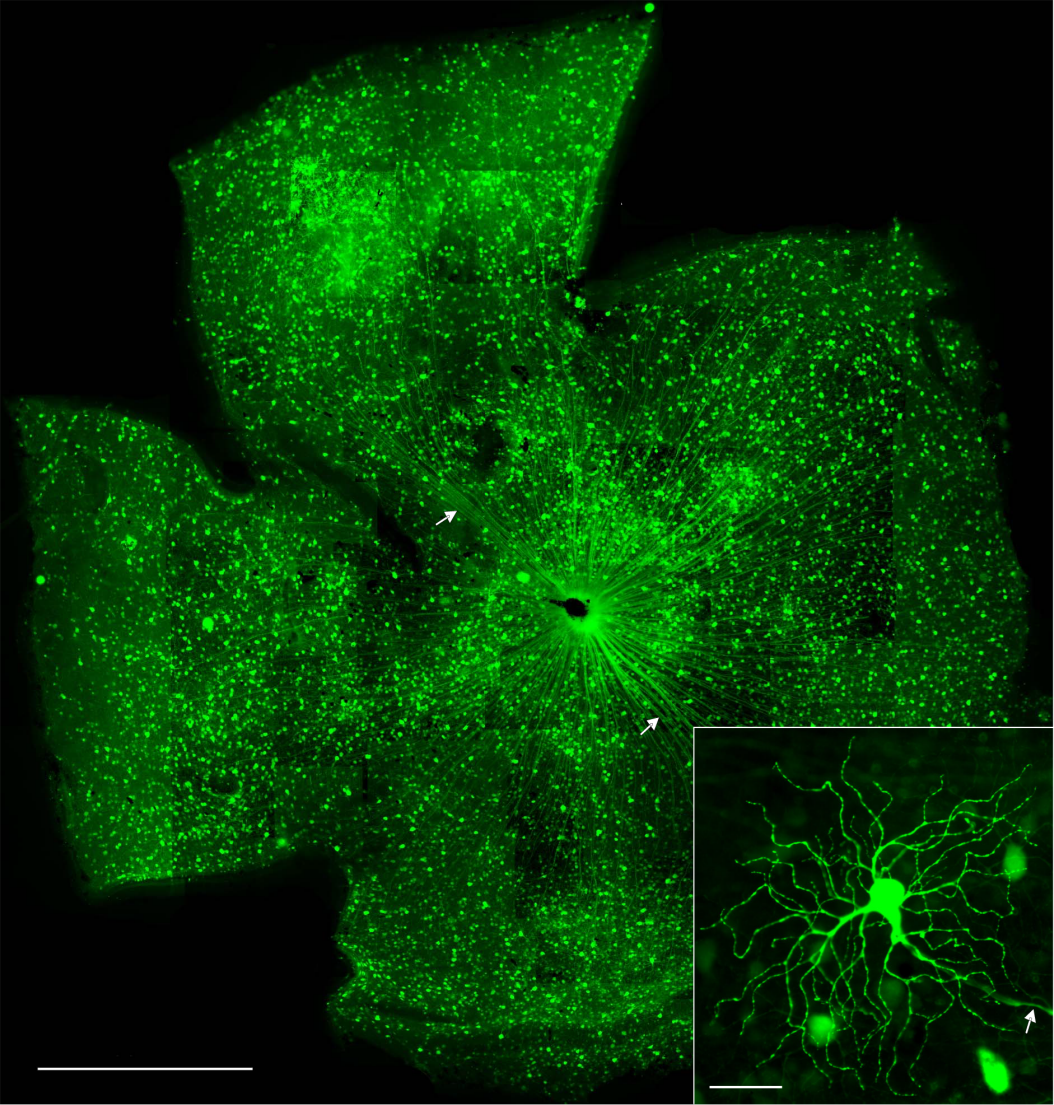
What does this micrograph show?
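A whole flat-mounted retina cut into four petals shows green fluorescent cells scattered densely throughout, with many thin fibres running radially toward the central optic disc. Some labelled cells are retinal ganglion cells whose axons join these converging fibres. The inset shows one such ganglion cell at higher magnification, with a large round cell body, a widely branching dendritic tree of fine beaded dendrites, and a single thin axon leaving it.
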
